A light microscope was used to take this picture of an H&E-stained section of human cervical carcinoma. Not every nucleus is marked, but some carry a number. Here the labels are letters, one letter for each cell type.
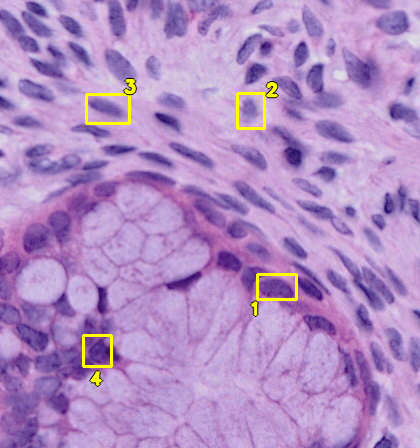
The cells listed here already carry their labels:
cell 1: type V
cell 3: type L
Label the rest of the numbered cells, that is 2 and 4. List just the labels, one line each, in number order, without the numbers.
type L
type V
